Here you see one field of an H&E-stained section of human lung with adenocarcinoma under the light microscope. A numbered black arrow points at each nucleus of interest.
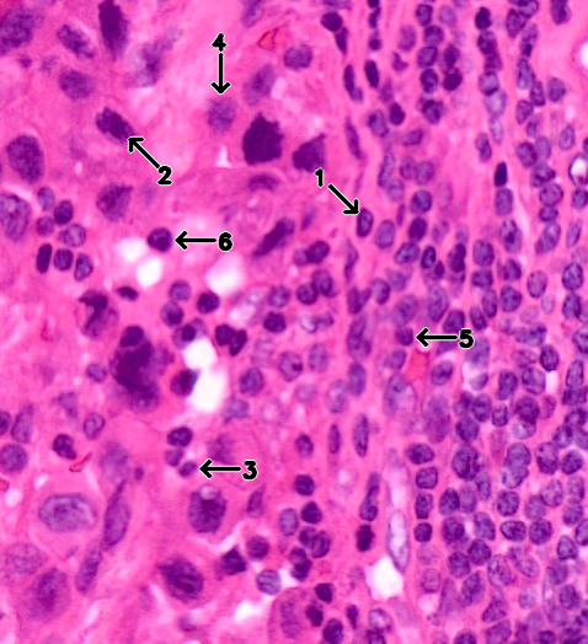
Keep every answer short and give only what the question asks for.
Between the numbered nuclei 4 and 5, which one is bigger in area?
4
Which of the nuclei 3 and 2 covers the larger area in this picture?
2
